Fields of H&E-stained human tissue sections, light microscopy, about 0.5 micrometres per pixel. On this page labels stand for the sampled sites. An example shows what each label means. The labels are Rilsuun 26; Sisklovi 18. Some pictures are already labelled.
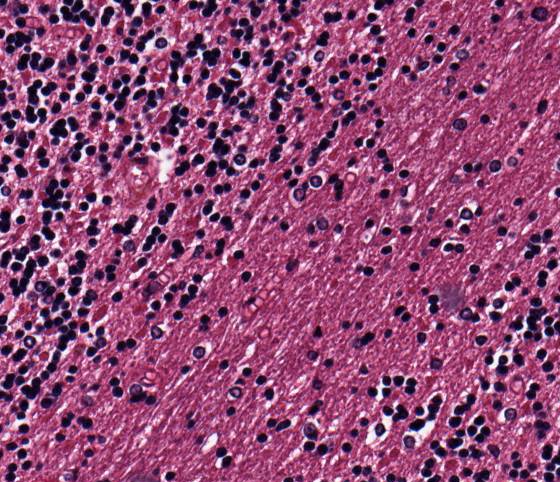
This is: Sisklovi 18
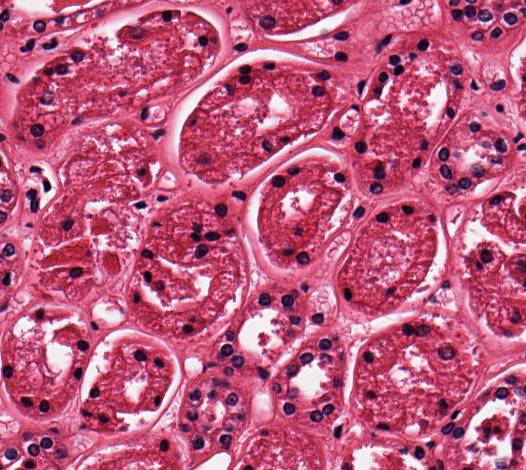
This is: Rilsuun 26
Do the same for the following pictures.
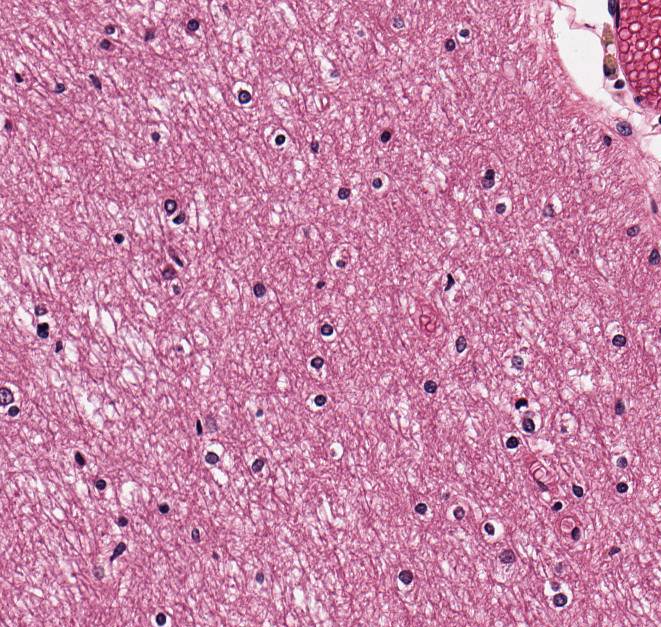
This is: Sisklovi 18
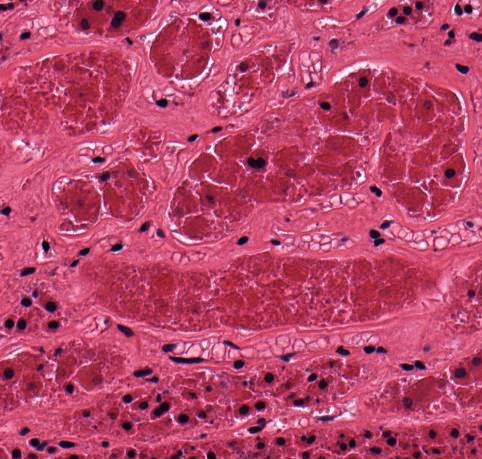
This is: Rilsuun 26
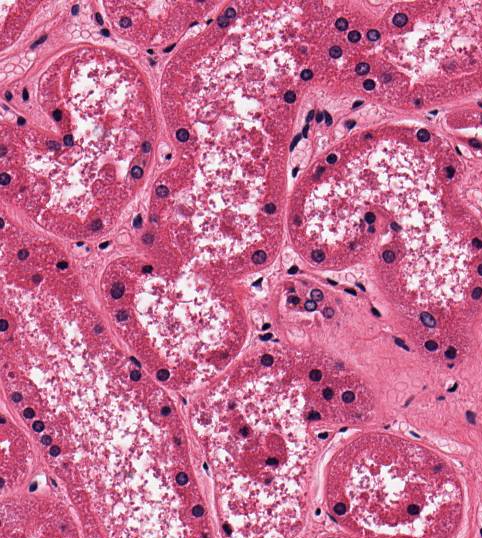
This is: Rilsuun 26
